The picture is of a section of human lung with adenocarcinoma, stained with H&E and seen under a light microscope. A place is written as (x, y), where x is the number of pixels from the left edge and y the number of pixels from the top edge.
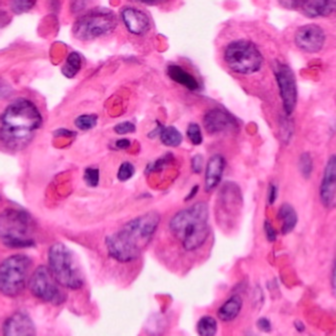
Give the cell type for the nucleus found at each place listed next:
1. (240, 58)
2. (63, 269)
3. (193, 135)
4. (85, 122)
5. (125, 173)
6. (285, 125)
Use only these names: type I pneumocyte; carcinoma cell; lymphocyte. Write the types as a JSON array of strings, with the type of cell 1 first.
["carcinoma cell", "carcinoma cell", "lymphocyte", "lymphocyte", "lymphocyte", "carcinoma cell"]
